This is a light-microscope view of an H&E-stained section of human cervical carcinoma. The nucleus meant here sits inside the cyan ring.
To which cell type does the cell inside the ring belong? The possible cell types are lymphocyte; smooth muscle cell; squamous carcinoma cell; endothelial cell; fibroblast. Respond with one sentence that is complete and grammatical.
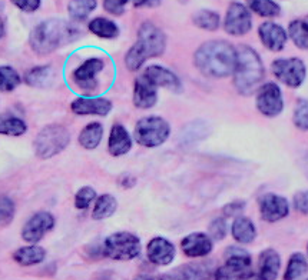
Within this tissue, the cell inside the ring is a lymphocyte.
